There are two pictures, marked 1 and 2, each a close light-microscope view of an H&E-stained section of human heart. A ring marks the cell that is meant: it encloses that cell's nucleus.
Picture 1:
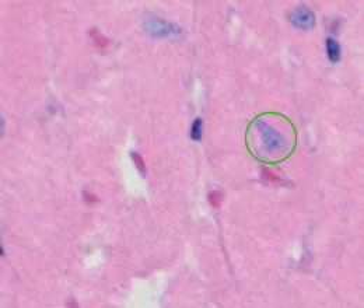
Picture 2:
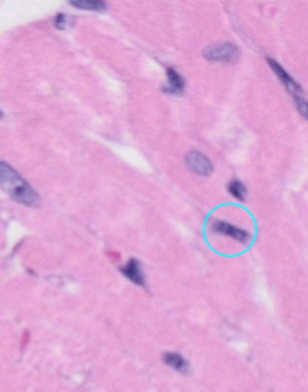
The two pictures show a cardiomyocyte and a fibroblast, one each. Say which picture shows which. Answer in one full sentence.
It is picture 1 that shows a cardiomyocyte, and picture 2 that shows a fibroblast.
